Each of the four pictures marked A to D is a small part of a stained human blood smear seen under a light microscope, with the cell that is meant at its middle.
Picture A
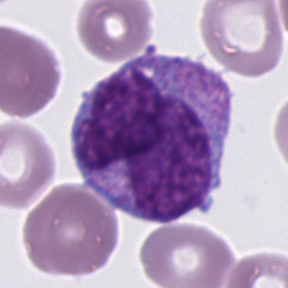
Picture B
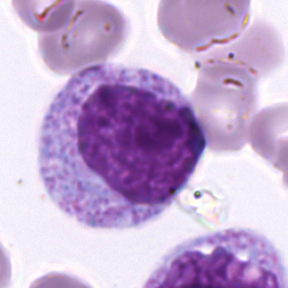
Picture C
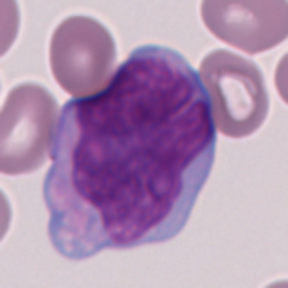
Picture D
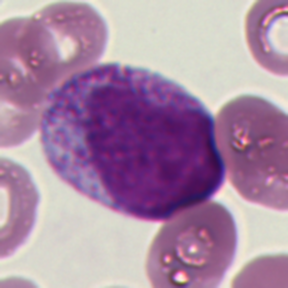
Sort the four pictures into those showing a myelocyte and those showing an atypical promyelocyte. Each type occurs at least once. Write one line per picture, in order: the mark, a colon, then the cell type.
A: atypical promyelocyte
B: myelocyte
C: atypical promyelocyte
D: myelocyte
